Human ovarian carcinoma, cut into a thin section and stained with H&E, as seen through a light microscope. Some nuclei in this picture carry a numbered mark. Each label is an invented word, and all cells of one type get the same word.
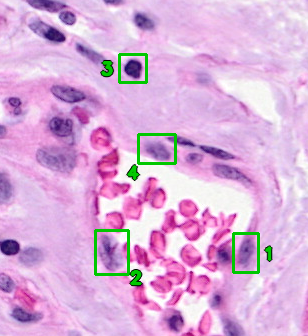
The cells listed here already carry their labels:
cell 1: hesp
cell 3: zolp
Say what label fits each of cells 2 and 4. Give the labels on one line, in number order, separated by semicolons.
hesp; hesp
